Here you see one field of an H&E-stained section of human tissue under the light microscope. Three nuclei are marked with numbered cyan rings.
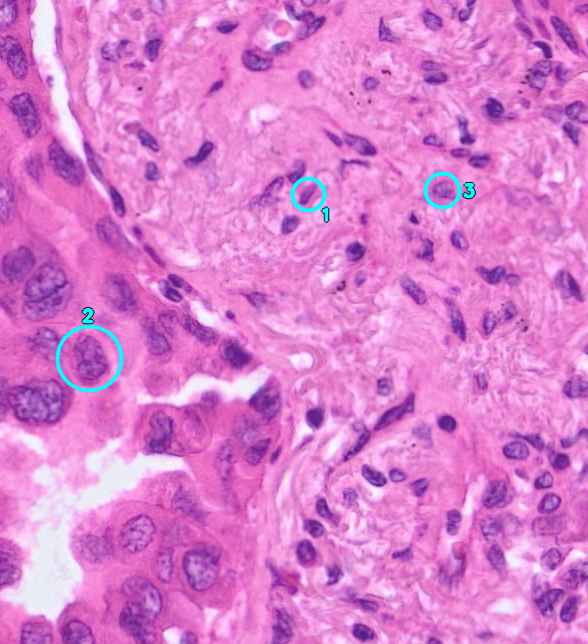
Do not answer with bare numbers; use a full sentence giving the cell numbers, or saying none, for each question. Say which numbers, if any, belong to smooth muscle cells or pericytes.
The identity of cells 1 and 3: they are smooth muscle cells or pericytes.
